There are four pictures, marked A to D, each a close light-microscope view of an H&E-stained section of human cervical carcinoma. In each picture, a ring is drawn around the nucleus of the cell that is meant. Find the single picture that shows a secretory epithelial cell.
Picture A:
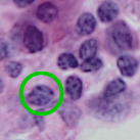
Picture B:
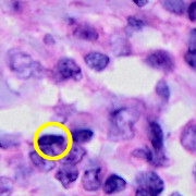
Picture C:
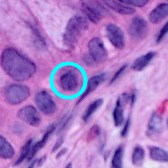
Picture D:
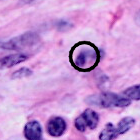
C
